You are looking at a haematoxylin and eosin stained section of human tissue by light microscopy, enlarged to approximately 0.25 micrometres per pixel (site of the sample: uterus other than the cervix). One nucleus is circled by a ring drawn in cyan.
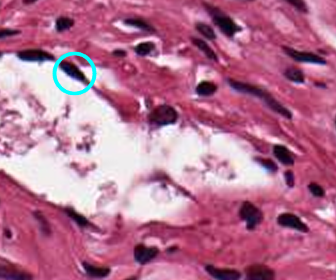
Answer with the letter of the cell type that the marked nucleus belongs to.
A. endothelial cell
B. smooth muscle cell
A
